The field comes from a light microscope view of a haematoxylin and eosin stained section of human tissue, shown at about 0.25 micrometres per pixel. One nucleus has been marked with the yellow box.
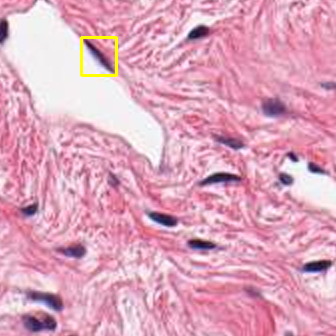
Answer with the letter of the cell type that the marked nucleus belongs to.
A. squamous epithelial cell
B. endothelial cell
B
